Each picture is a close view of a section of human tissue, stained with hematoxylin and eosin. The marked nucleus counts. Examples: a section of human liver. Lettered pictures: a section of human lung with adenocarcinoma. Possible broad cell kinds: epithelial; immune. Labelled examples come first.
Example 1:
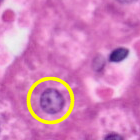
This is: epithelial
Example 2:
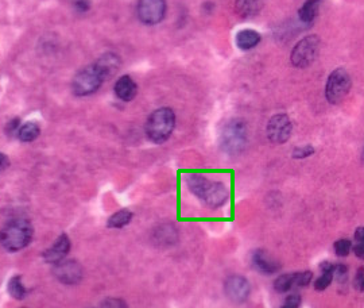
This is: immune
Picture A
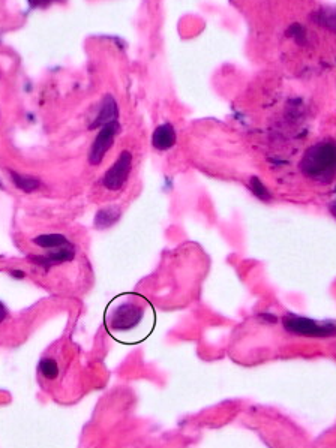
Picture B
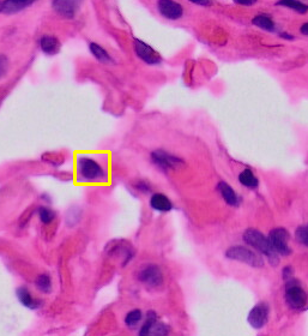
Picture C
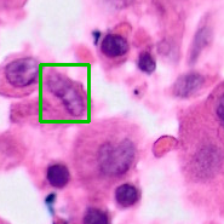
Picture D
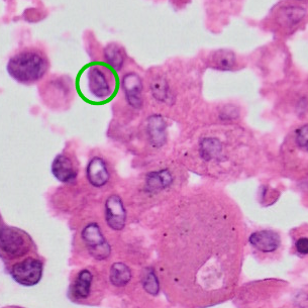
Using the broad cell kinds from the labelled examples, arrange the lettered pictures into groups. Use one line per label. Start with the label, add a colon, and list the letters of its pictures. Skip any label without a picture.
epithelial: A, B
immune: C, D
